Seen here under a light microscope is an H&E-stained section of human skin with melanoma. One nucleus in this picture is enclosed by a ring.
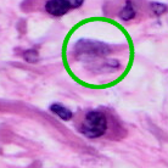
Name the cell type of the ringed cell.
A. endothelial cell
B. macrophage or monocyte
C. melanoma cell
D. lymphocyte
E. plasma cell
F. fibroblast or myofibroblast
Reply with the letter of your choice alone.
F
